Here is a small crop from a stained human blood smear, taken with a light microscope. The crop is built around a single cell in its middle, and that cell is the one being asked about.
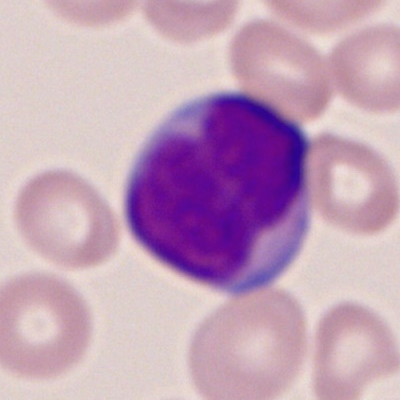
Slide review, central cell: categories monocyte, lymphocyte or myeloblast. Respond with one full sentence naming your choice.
The cell at the centre of the field is a myeloblast.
